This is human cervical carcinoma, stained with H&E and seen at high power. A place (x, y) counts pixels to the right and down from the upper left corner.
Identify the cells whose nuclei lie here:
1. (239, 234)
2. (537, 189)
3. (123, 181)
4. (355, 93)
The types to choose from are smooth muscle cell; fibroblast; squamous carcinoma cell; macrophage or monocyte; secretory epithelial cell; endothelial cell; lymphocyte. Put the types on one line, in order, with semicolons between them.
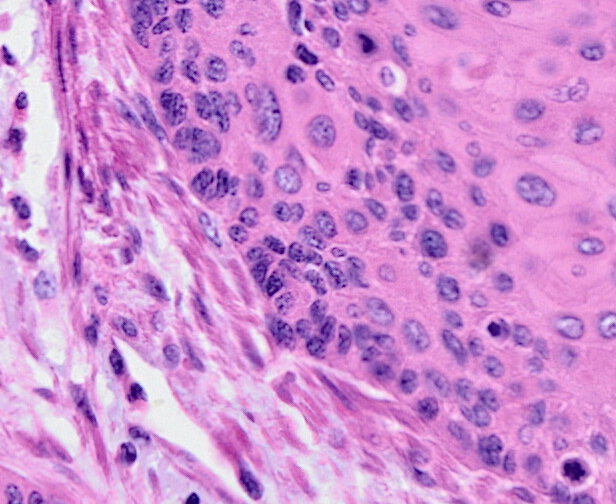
squamous carcinoma cell; squamous carcinoma cell; fibroblast; squamous carcinoma cell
